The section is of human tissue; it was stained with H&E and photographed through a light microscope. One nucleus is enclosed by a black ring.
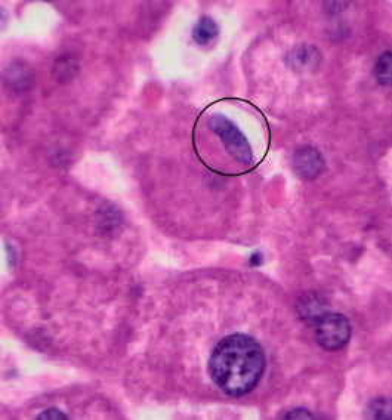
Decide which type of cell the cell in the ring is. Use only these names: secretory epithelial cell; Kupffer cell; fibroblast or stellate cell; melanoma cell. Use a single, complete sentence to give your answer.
Within the stained tissue, the cell in the ring is a Kupffer cell.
